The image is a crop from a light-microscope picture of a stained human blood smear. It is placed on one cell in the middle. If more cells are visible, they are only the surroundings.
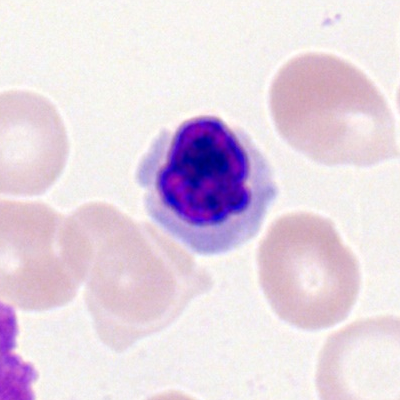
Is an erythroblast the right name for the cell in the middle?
yes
